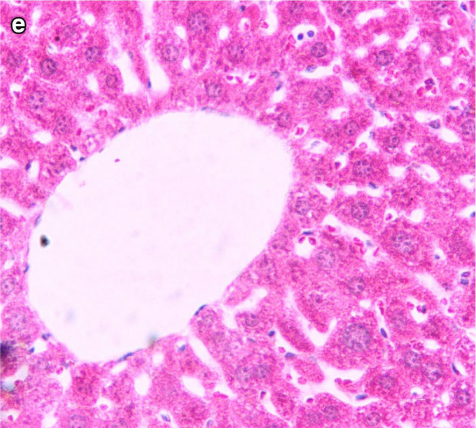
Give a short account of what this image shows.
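This is liver tissue with a large, empty vein lined by thin, flattened endothelial cells. Hepatocytes with pink granular cytoplasm and round central nuclei form cords that run up to the vessel wall, separated by narrow sinusoidal spaces. No cluster of small dark inflammatory cells is seen around the vessel.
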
